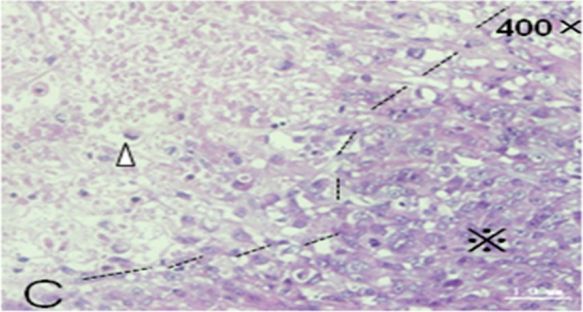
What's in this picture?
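This is tumor tissue stained with hematoxylin and eosin, split by a dashed line into two clearly different zones. On the right, tumor cells are densely packed, with many dark purple nuclei lying close together in a compact tissue. On the left, the tissue is much paler and looser, with cells spread more sparsely. Many cells in the pale zone look swollen or faint, and fewer well-stained nuclei are seen there. The border between the two zones is fairly sharp, marking injured tissue against surrounding intact tumor.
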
